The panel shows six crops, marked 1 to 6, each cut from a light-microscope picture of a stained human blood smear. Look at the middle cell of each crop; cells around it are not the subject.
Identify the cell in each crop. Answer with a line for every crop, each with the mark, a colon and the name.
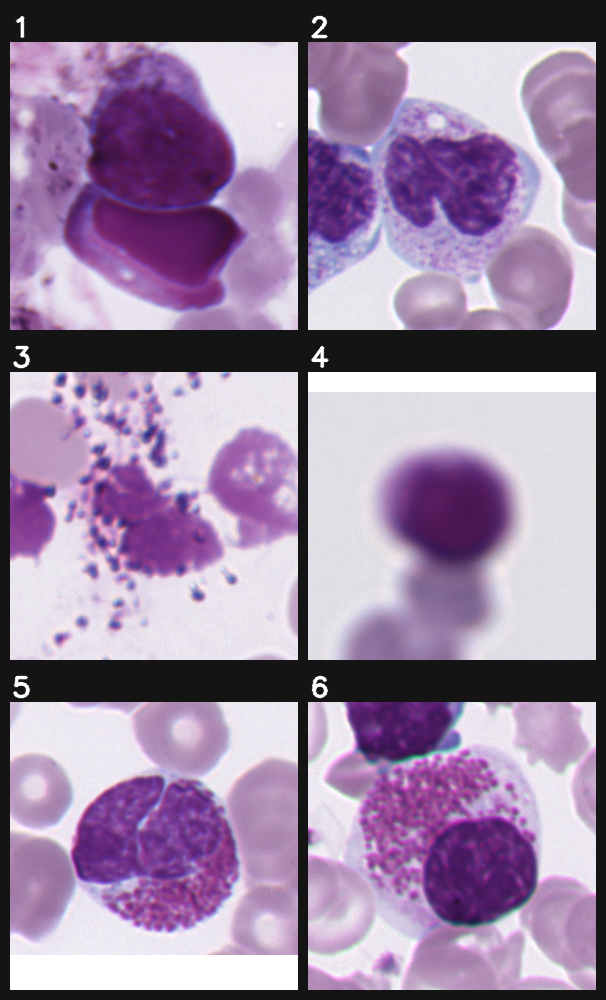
1: myeloblast
2: band neutrophil
3: basophil
4: smudge cell
5: eosinophil
6: eosinophil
